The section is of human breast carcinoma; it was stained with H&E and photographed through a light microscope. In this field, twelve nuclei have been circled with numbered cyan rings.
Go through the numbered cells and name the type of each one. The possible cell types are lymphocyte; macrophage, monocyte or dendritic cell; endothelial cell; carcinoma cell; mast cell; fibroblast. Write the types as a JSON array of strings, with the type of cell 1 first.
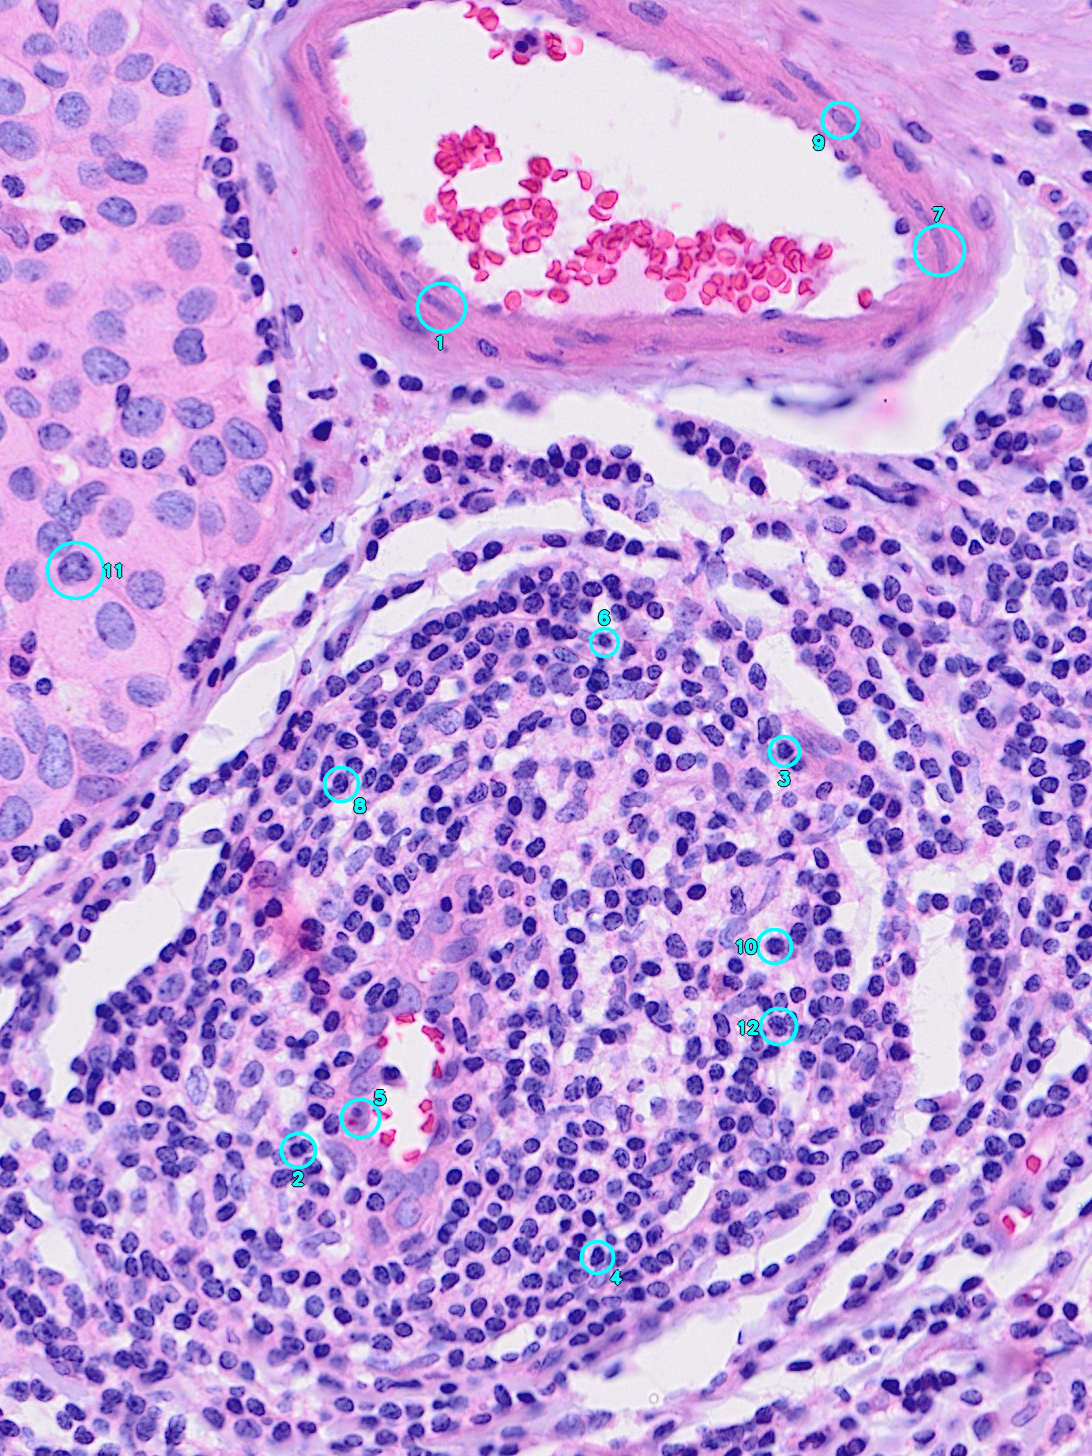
["endothelial cell", "lymphocyte", "lymphocyte", "lymphocyte", "endothelial cell", "lymphocyte", "endothelial cell", "lymphocyte", "endothelial cell", "lymphocyte", "carcinoma cell", "lymphocyte"]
